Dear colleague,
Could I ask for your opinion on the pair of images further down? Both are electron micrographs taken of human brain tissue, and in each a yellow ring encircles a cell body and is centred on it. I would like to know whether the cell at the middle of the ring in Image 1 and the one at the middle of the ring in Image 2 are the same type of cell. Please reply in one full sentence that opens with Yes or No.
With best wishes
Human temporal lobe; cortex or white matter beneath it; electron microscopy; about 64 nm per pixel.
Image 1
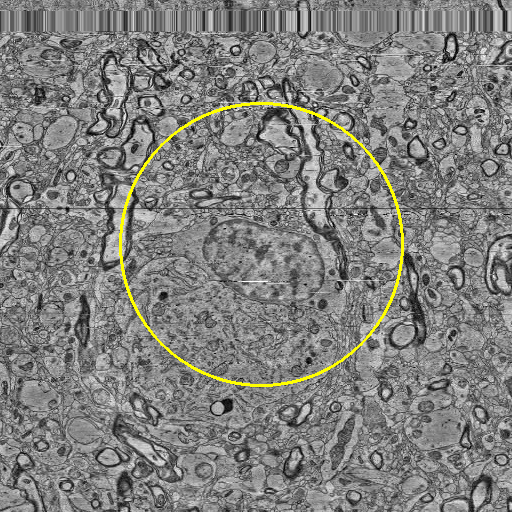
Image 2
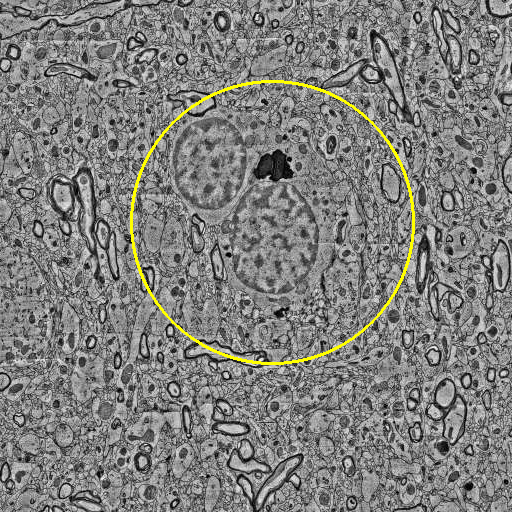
Yes, the cells at the ring centres in Image 1 and Image 2 are of one type.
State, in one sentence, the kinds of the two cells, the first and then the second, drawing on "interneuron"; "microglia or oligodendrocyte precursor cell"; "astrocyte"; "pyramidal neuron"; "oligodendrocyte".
Each of the two pictures has an oligodendrocyte at the ring centre.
